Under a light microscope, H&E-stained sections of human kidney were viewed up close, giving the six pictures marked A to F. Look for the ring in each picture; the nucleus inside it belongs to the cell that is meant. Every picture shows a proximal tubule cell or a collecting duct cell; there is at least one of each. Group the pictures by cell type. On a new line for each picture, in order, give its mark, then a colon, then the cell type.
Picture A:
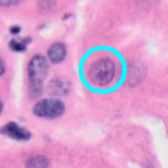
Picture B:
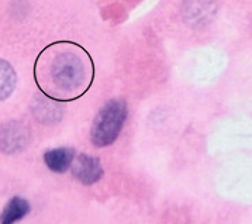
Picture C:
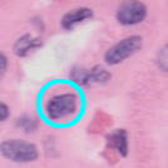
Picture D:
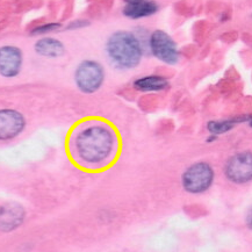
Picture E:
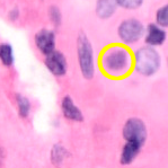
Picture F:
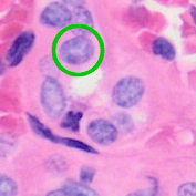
A: proximal tubule cell
B: proximal tubule cell
C: collecting duct cell
D: proximal tubule cell
E: collecting duct cell
F: collecting duct cell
